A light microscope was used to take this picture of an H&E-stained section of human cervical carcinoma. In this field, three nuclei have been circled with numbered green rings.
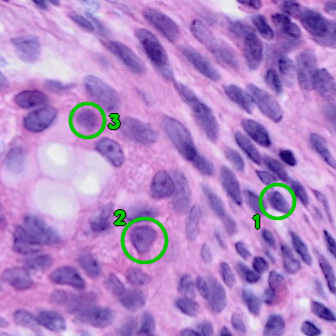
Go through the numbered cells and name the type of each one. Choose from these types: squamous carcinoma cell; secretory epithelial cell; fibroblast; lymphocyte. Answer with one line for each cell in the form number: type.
1: fibroblast
2: secretory epithelial cell
3: secretory epithelial cell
